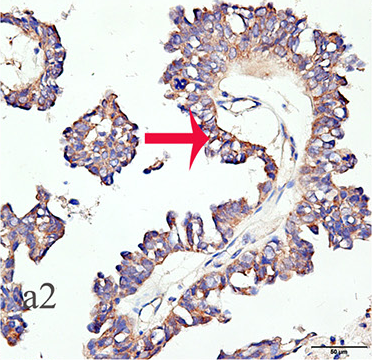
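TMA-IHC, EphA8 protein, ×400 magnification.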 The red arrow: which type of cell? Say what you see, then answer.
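The arrow points at the cell layer lining a papilla. These cells are crowded with enlarged, irregular nuclei. Their borders are stained brown.
Conclusion: cancerous epithelial cell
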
